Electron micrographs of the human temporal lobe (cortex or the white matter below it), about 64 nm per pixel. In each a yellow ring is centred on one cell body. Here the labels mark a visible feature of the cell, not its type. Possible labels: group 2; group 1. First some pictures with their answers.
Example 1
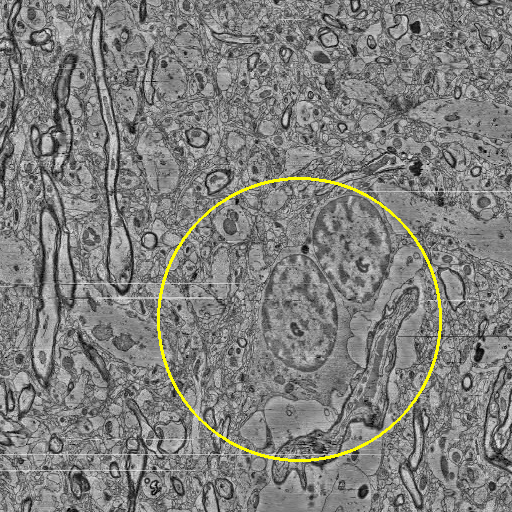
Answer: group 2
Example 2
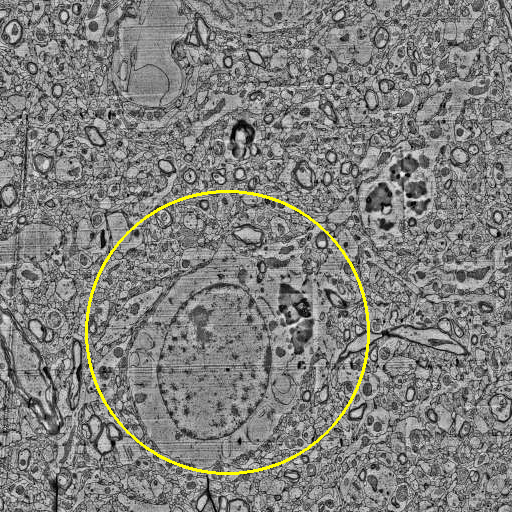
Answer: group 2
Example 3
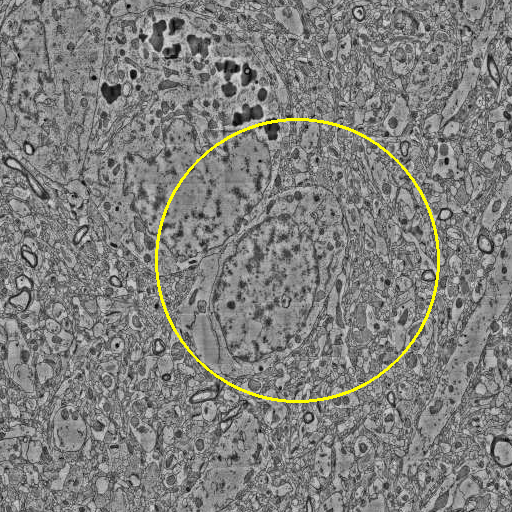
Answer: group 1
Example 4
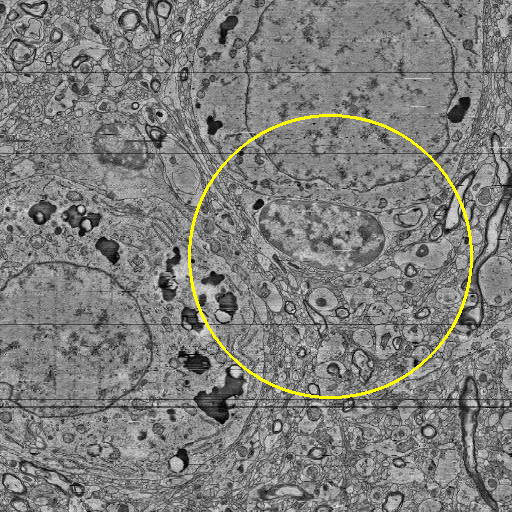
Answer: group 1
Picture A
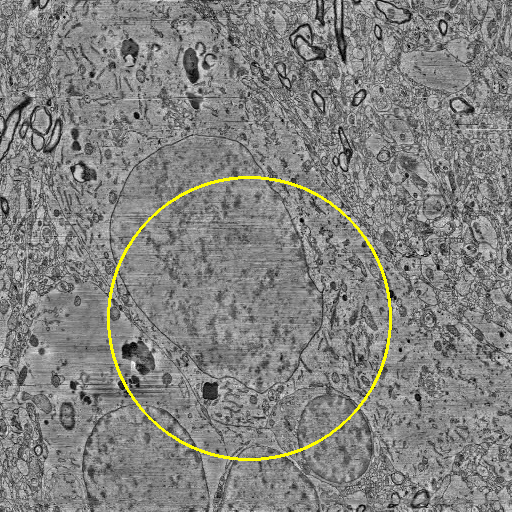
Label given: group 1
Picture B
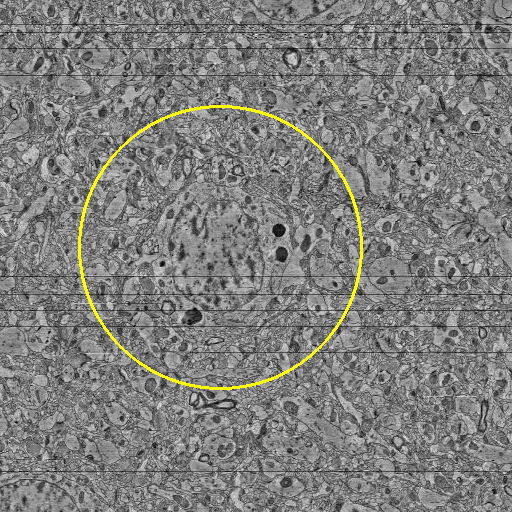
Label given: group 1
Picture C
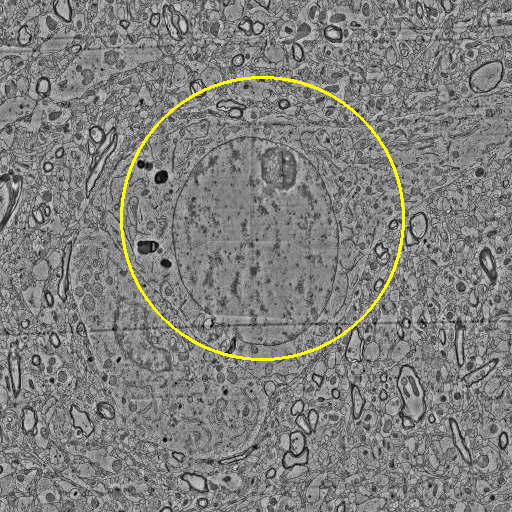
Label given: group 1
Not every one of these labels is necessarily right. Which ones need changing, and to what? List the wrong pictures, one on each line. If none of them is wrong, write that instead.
C: change group 1 to group 2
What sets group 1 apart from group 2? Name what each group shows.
Seen in group 1: no nucleolus seen; seen in group 2: nucleolus seen.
